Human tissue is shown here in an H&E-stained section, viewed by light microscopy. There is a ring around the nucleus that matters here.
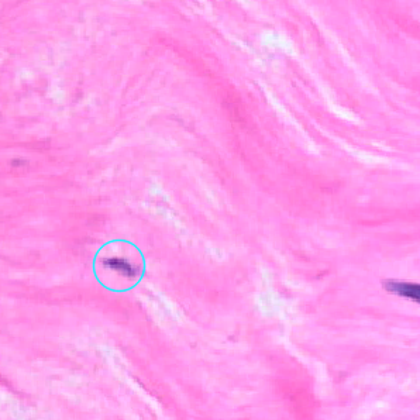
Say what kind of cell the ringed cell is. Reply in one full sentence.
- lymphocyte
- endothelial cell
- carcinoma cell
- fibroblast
In cellular terms, the ringed cell is a fibroblast.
